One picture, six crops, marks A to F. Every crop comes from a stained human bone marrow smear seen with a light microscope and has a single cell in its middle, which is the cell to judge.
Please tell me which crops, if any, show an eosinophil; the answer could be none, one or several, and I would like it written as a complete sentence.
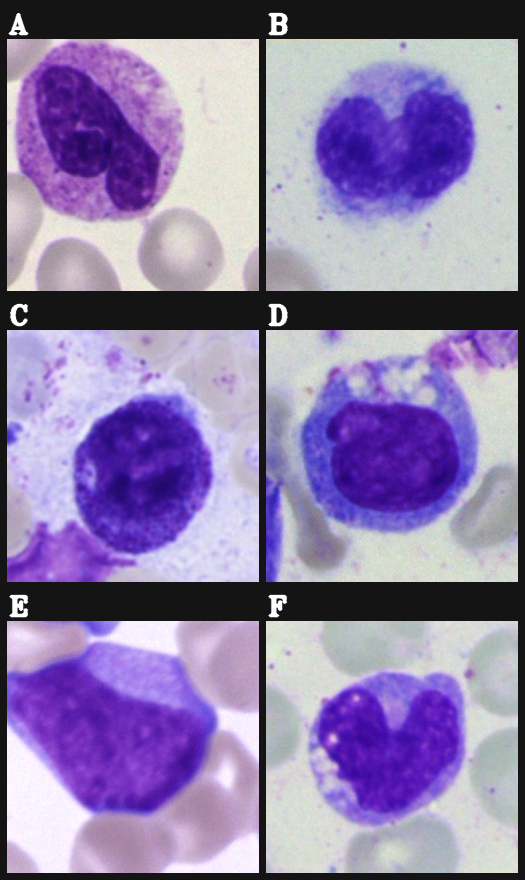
In none of the crops does the central cell represent an eosinophil.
